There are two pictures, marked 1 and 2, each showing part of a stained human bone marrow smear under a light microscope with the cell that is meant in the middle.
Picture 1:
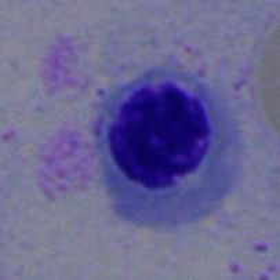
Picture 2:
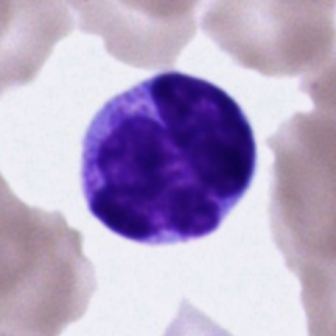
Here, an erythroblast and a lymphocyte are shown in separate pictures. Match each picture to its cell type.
1: erythroblast
2: lymphocyte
